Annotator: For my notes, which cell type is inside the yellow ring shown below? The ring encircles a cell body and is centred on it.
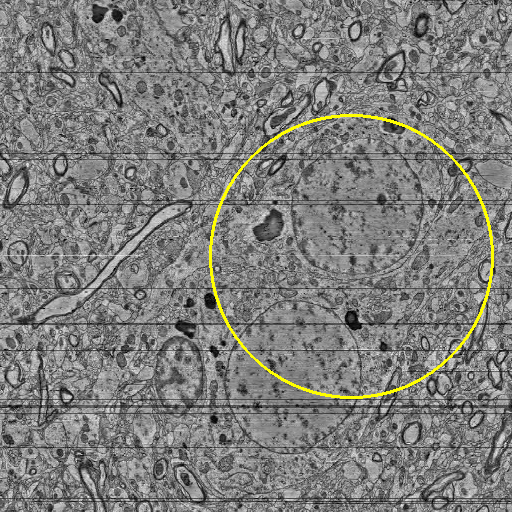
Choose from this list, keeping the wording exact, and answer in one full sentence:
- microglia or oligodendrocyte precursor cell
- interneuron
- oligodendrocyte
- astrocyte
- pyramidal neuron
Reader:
At the centre of the yellow ring there is an interneuron, as shown in the picture.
